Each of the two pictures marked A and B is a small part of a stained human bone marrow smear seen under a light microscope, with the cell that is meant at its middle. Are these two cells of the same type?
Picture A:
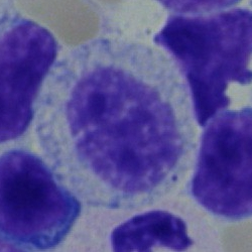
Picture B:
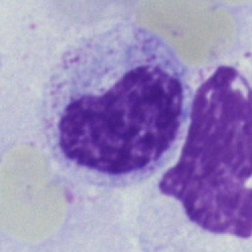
no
